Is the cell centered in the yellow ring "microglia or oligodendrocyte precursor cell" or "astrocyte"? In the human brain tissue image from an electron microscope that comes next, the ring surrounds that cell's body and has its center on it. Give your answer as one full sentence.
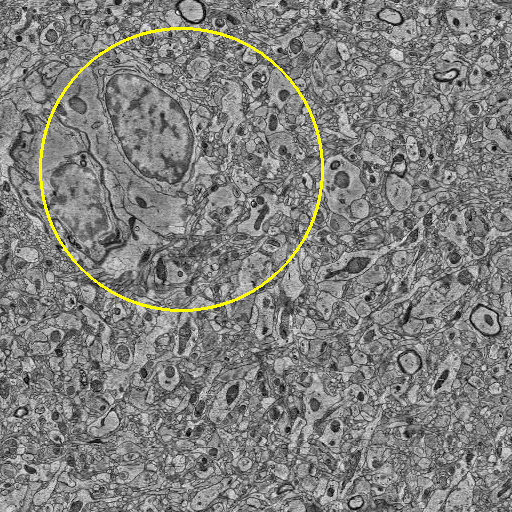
The cell at the center of the yellow ring is a microglial cell or oligodendrocyte precursor cell in the micrograph.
